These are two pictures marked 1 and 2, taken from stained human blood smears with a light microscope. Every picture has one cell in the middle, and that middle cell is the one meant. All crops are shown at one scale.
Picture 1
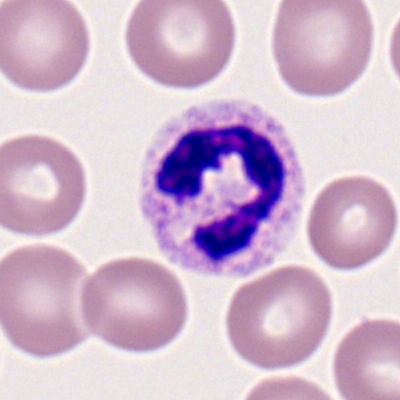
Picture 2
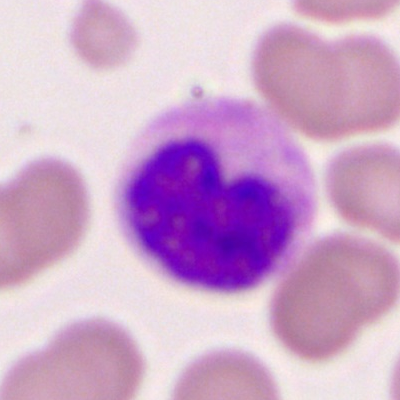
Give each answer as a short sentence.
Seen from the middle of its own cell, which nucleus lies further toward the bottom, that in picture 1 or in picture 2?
Seen within its cell, the nucleus in picture 2 lies further toward the bottom.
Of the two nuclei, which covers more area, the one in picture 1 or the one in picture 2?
It is the nucleus in picture 2, about 2 times as large in area as the one in picture 1.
